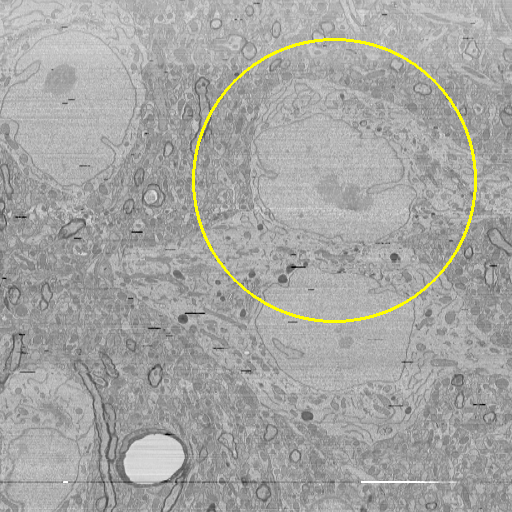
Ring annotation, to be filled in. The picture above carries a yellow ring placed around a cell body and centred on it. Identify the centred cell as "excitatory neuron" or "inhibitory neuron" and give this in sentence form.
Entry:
The cell in the middle of the ring is an inhibitory neuron.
